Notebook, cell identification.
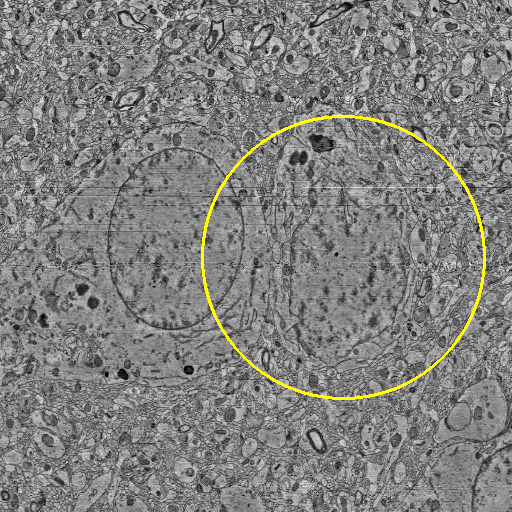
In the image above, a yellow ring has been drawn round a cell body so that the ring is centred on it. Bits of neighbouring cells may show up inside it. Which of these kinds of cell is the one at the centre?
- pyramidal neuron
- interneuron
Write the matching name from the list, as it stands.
interneuron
